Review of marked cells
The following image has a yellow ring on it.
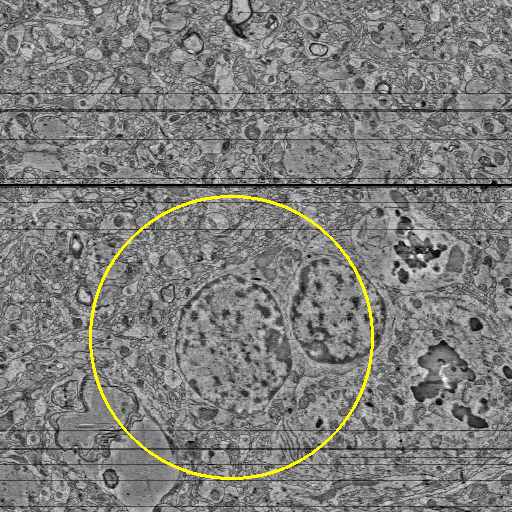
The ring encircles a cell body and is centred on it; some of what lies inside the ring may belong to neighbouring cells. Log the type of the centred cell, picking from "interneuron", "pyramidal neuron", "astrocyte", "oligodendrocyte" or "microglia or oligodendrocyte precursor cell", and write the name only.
astrocyte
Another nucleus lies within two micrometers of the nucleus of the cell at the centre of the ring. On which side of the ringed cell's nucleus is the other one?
The second nucleus sits to the upper right of it.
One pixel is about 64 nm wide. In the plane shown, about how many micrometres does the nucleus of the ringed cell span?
The nucleus has a long axis of about 9 micrometres and a short axis of about 7 micrometres in this plane.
